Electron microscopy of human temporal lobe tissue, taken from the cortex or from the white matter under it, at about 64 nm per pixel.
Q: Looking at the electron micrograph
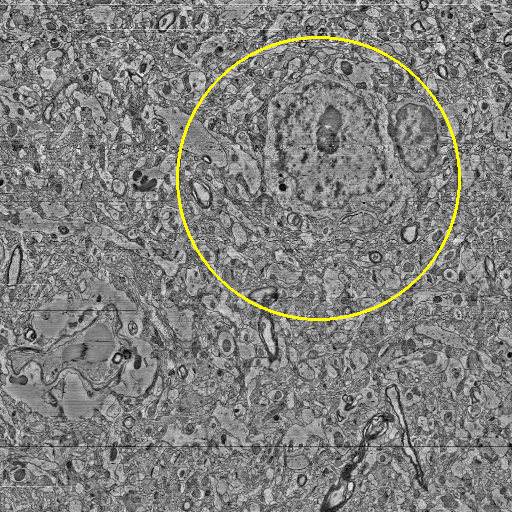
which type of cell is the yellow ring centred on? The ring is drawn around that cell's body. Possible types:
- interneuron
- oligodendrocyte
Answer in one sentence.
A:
The yellow ring is centred on an interneuron.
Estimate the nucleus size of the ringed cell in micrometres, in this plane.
The nucleus works out at approximately 8 by 7 micrometres in this plane.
